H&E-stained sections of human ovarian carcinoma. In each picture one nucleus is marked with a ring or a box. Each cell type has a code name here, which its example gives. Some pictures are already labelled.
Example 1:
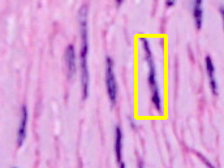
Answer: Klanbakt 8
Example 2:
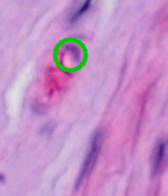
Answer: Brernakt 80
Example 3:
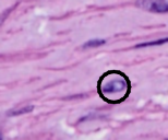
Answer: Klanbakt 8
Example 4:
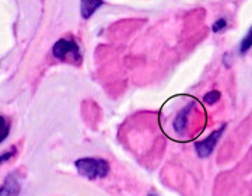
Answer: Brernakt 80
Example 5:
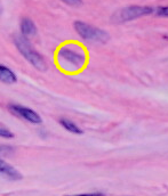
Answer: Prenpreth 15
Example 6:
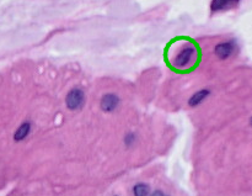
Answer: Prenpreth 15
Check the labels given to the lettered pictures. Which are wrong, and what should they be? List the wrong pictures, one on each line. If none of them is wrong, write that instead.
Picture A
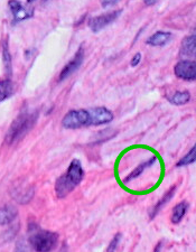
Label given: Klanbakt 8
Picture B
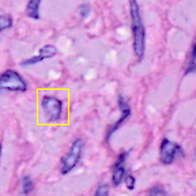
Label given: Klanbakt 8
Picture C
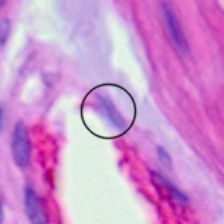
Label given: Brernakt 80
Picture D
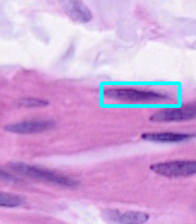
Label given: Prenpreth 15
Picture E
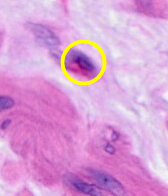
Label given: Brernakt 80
Nothing to fix; every label fits.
